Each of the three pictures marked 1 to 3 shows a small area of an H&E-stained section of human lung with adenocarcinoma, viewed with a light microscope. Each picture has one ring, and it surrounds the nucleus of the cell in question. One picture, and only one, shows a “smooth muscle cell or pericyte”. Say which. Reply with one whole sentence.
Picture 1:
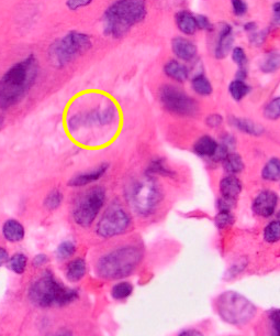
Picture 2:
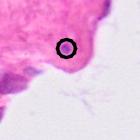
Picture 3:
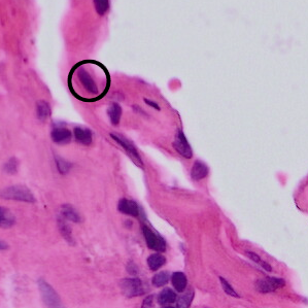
The “smooth muscle cell or pericyte” is the one in picture 2.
